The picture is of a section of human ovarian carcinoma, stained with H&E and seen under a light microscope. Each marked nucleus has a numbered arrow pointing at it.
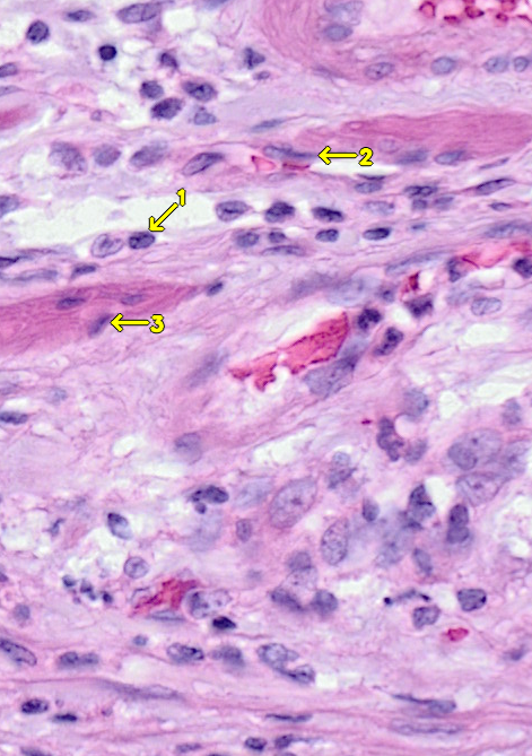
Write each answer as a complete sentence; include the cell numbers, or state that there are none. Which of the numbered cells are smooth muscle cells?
Just one of the numbered cells is a smooth muscle cell, namely number 3.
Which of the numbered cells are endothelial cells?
Among the numbered nuclei, only the one labelled 2 belongs to an endothelial cell.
